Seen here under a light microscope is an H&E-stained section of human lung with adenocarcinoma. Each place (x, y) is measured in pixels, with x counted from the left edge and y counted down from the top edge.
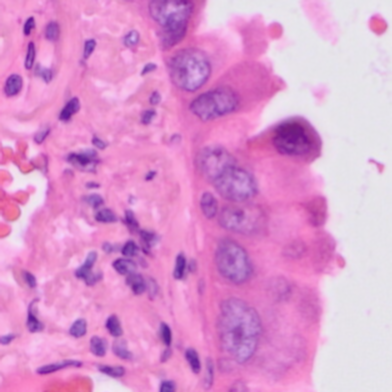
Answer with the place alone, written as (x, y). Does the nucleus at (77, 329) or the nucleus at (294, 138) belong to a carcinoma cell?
(294, 138)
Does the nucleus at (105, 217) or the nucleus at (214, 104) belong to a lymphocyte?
(105, 217)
